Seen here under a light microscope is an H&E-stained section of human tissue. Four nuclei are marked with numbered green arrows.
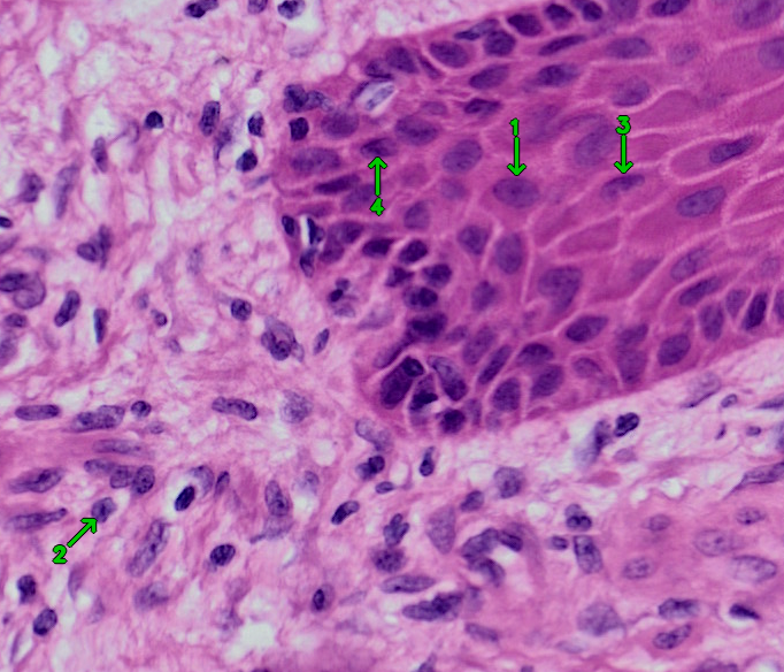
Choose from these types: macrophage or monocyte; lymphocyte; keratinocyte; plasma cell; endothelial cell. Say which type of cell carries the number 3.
keratinocyte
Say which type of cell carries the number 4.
keratinocyte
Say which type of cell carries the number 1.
keratinocyte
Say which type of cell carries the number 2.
lymphocyte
